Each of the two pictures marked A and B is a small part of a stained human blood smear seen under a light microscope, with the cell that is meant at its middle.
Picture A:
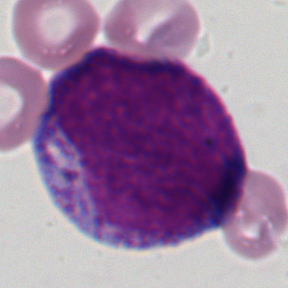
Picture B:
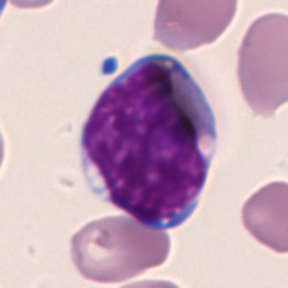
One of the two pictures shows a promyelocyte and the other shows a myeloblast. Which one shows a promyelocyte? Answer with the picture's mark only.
A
